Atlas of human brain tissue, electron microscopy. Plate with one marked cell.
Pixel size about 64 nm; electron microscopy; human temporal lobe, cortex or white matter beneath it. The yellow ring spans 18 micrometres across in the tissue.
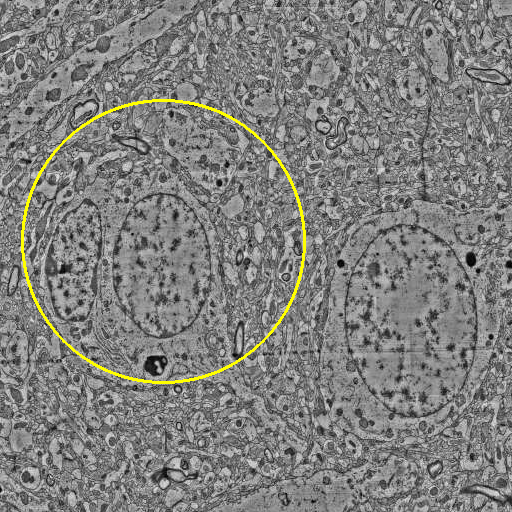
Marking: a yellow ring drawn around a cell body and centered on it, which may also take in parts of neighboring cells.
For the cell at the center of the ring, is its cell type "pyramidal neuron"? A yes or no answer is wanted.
Yes, that is its cell type.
